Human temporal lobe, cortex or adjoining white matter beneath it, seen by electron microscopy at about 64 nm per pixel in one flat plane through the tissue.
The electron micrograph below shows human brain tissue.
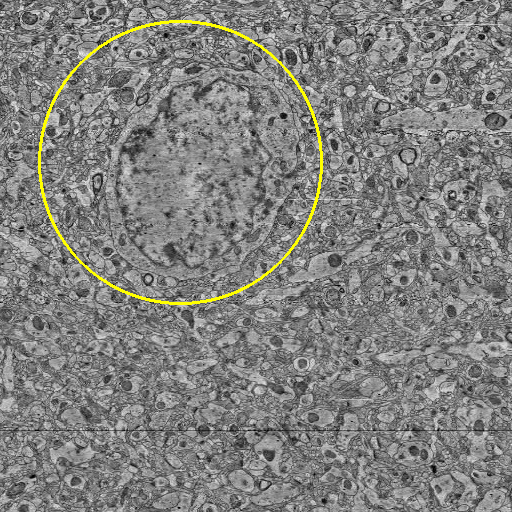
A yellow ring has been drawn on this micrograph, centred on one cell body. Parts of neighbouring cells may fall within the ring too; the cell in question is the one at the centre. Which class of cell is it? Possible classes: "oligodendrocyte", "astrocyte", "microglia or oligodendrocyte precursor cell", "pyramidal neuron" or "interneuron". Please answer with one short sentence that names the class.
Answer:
In the centre of the ring sits an interneuron.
